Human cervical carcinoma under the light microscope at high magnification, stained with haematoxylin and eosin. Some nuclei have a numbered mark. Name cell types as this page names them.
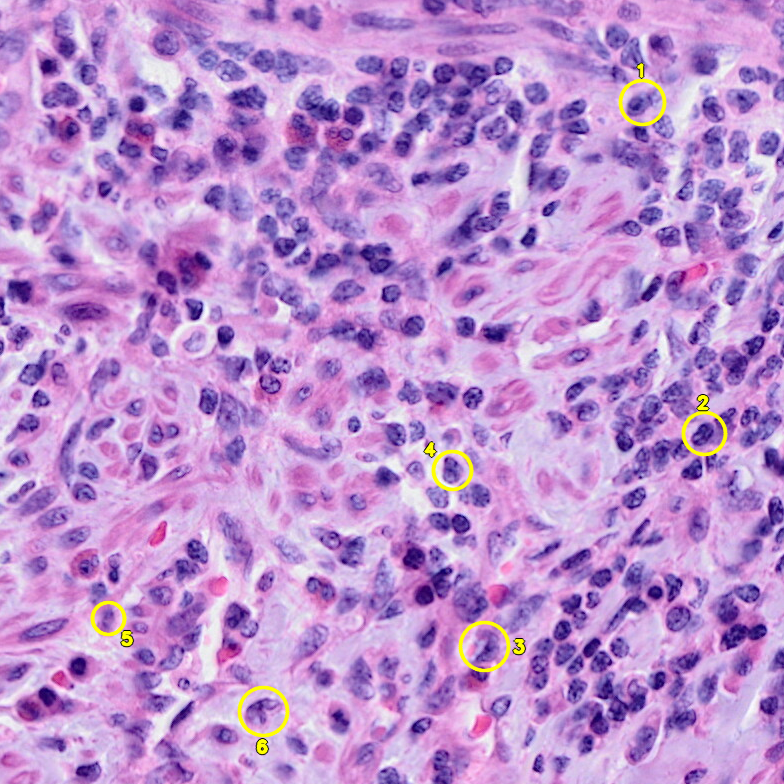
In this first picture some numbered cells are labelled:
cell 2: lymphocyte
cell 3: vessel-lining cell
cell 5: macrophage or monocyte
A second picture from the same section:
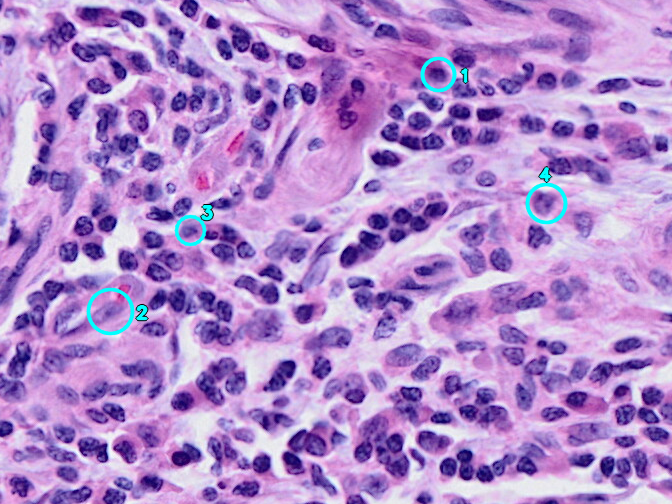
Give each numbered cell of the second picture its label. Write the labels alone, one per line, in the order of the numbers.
lymphocyte
vessel-lining cell
lymphocyte
macrophage or monocyte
